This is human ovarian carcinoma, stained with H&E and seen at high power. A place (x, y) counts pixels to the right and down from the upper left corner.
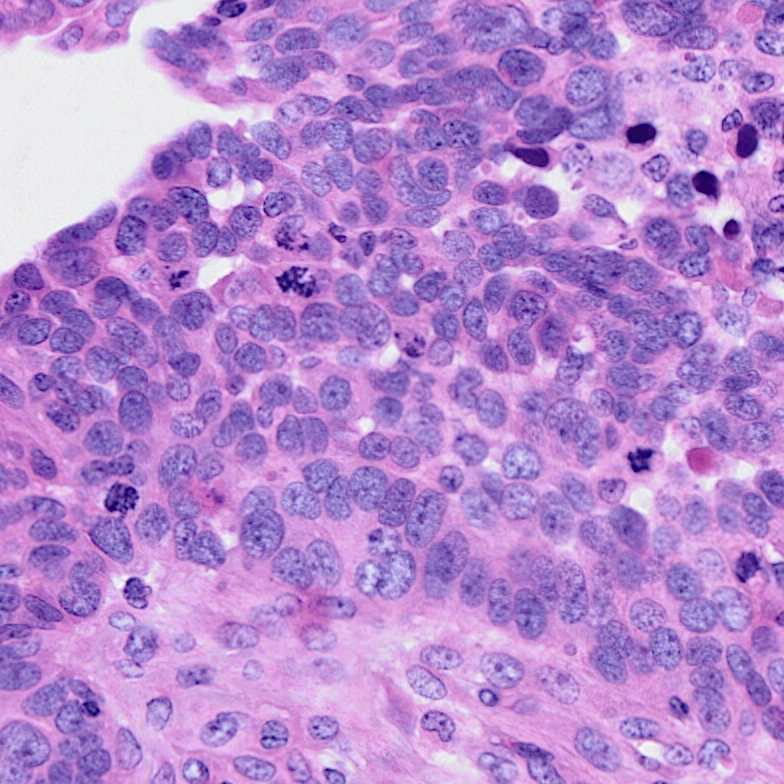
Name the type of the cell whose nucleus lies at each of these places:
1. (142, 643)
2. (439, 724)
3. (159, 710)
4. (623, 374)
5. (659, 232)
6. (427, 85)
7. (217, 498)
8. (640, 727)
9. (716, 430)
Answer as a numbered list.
1. fibroblast
2. macrophage or monocyte
3. fibroblast
4. carcinoma cell
5. carcinoma cell
6. carcinoma cell
7. carcinoma cell
8. fibroblast
9. carcinoma cell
